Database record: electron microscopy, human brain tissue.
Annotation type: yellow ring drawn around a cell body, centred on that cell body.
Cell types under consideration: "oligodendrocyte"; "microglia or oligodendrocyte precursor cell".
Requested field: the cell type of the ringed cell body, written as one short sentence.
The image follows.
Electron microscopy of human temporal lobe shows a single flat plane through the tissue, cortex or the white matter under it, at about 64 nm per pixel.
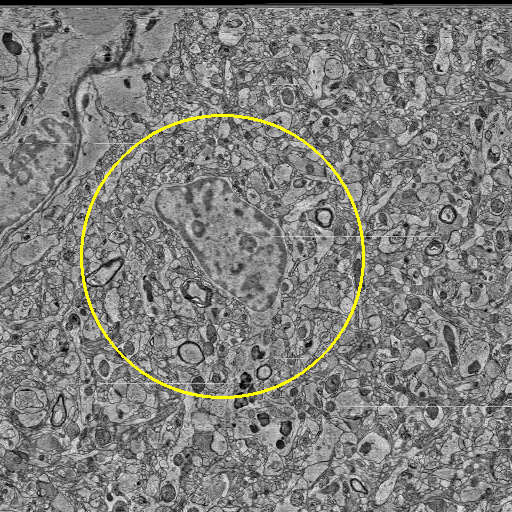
The ringed cell body represents a microglial cell or oligodendrocyte precursor cell.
